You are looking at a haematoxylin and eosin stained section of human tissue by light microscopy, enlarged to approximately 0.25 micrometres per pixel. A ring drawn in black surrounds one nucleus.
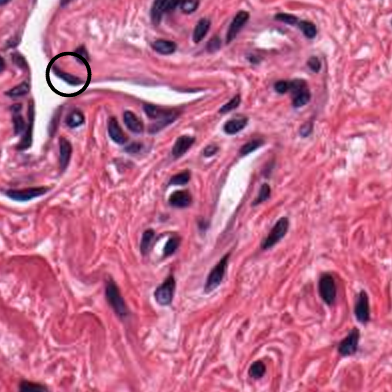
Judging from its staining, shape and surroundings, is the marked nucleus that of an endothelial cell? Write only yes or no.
yes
